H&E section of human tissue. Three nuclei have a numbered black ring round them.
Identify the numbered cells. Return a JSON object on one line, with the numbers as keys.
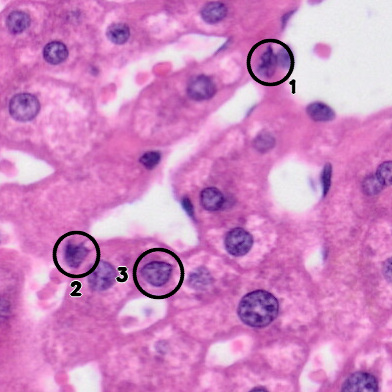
{"1": "fibroblast or stellate cell", "2": "fibroblast or stellate cell", "3": "hepatocyte"}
